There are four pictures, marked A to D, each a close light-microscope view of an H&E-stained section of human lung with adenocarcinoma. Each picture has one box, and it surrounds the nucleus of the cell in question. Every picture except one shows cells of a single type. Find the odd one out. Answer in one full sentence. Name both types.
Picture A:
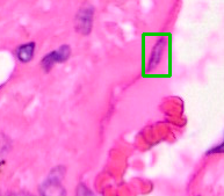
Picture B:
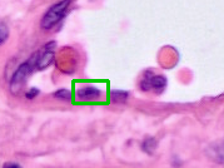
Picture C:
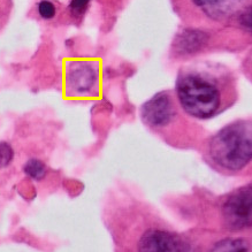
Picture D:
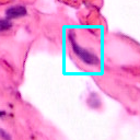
The different one is picture C; it shows a “macrophage or monocyte”, whereas all the others show endothelial cells.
